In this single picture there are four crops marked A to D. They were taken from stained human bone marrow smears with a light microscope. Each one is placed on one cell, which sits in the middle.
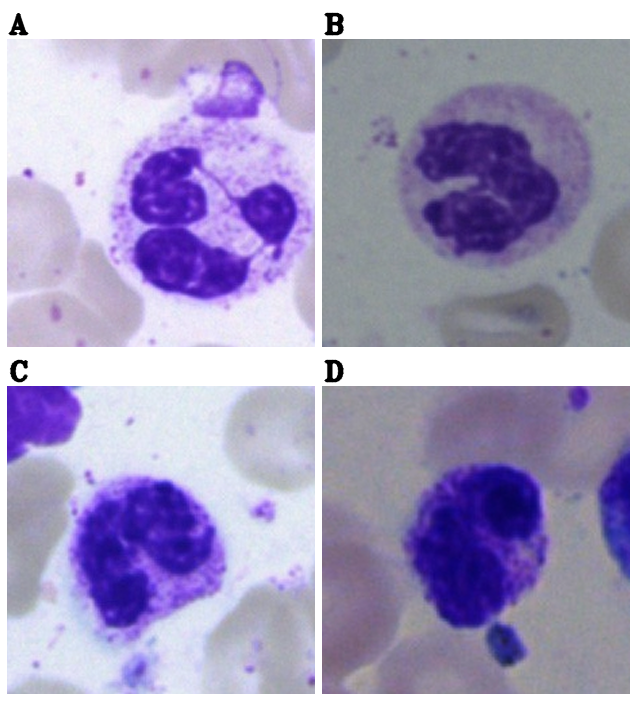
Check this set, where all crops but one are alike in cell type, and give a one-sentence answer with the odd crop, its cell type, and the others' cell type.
Of the crops, all show segmented neutrophils save crop B, which shows a band neutrophil.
